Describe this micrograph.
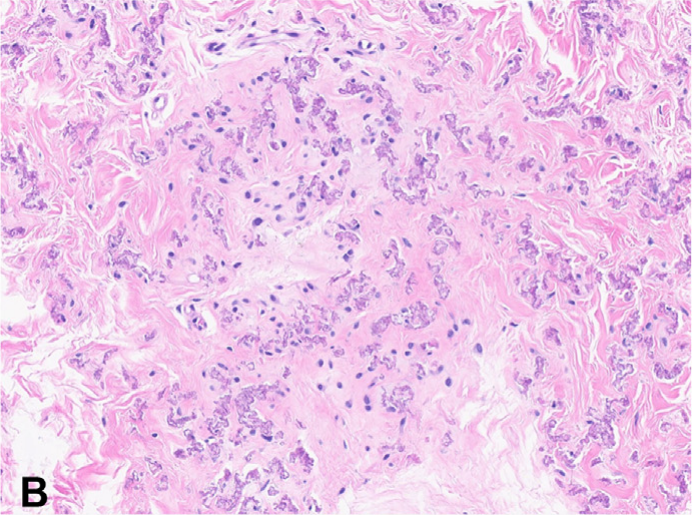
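This is dermis of skin in which many short, curled and clumped purple fibers lie scattered among pink bundles of collagen. The fibers are fragmented, irregular and granular, gathering into loose clusters, and scattered spindle-shaped fibroblast nuclei lie between them in a paler pink matrix.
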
